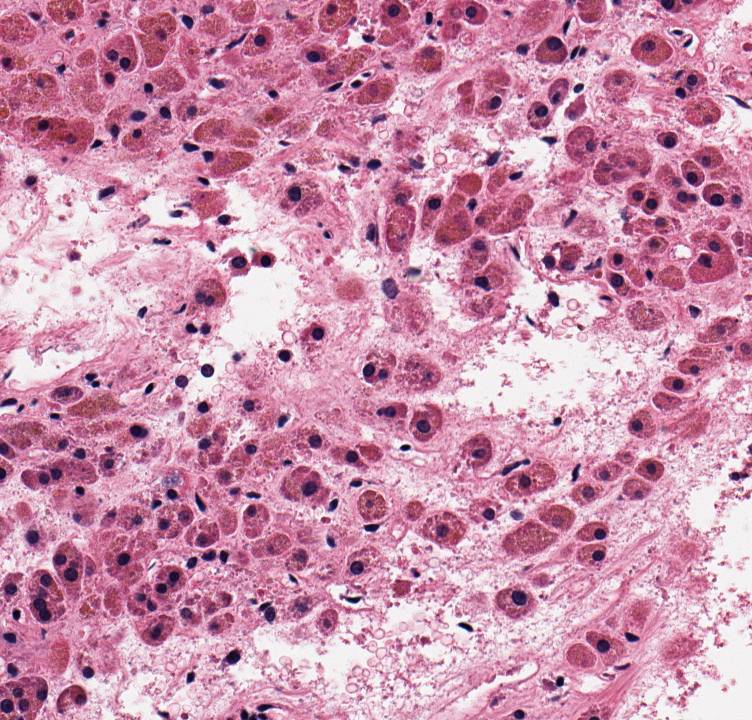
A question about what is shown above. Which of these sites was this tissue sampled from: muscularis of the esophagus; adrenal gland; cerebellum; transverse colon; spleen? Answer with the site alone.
adrenal gland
